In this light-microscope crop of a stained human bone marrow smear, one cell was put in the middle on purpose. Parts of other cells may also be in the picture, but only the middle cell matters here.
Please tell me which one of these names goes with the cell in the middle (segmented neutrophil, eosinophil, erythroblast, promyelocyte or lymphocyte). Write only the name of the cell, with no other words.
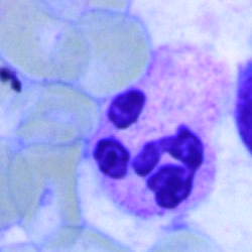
segmented neutrophil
